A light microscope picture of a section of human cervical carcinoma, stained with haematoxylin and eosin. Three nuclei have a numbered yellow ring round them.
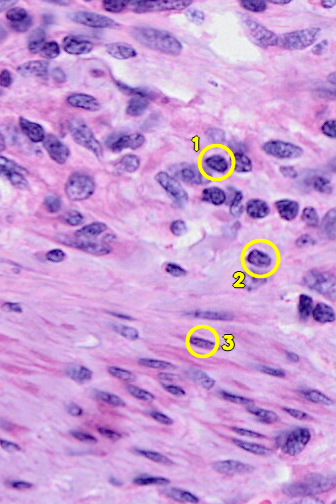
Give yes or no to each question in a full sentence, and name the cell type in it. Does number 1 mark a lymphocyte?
Yes, the cell that bears number 1 is a lymphocyte.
